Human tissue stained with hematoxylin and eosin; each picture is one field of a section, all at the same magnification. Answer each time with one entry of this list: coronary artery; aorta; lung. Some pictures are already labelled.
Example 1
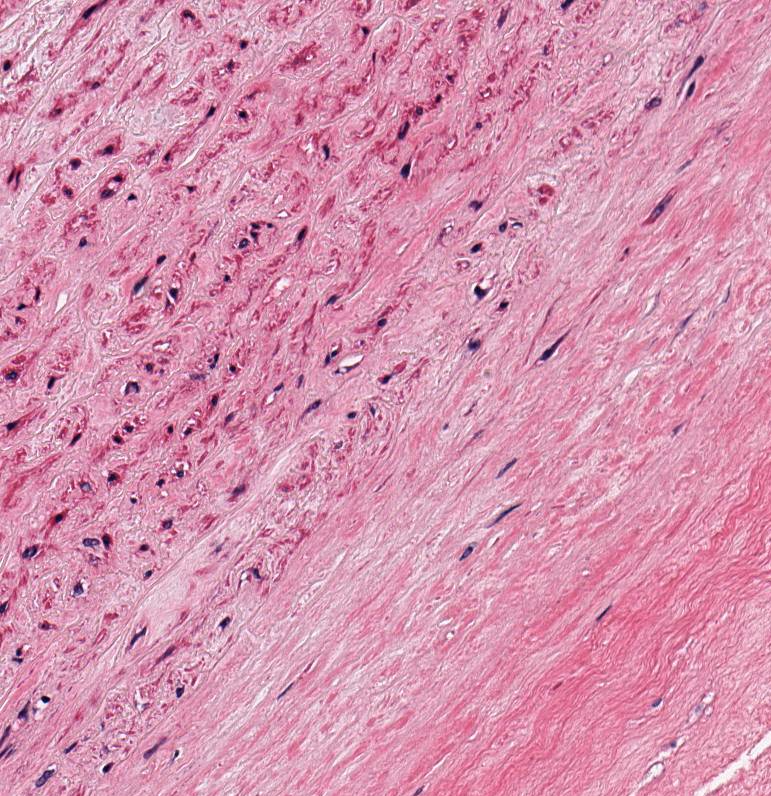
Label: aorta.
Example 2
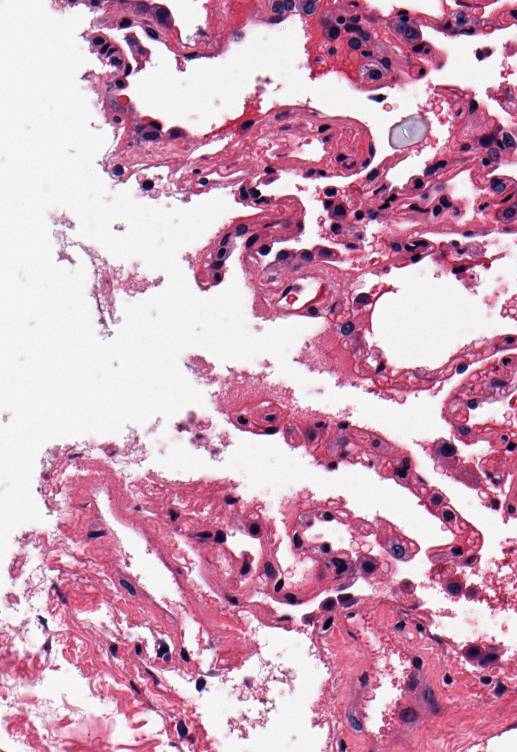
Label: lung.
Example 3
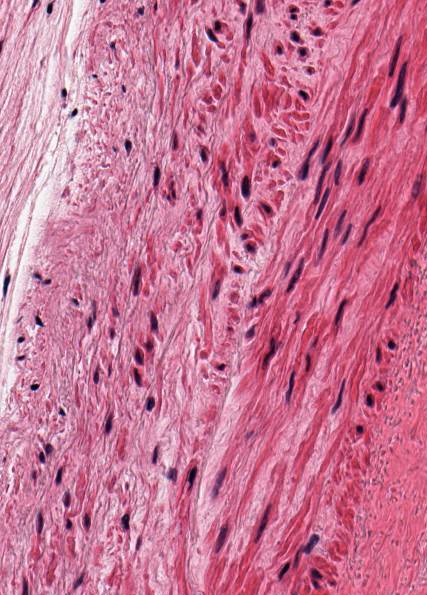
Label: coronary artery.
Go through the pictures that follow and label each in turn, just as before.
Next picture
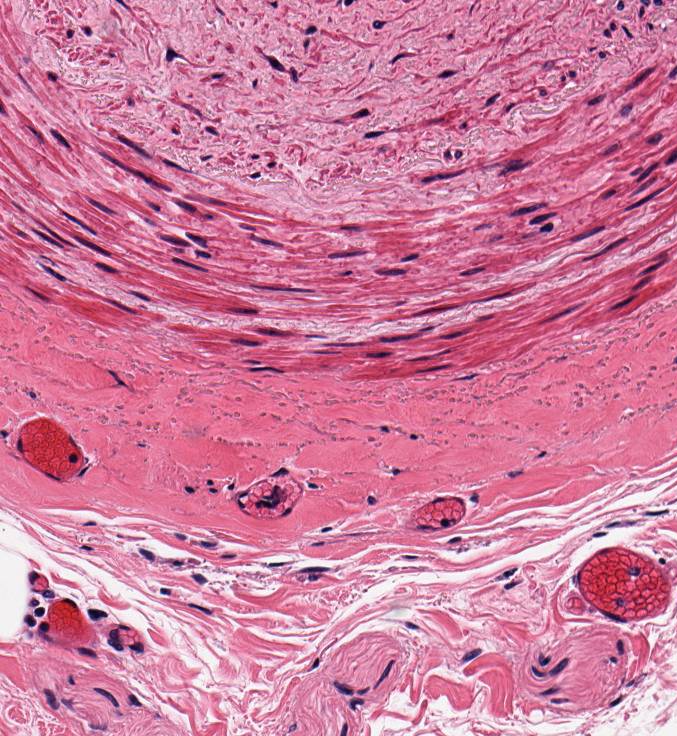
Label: coronary artery.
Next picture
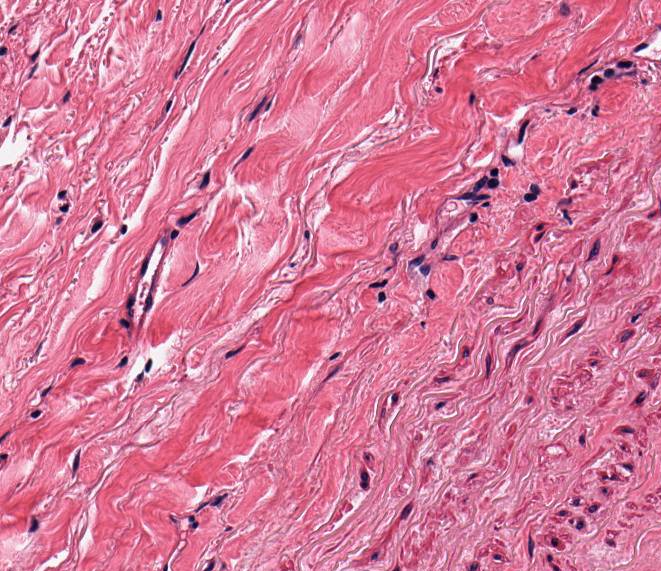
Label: aorta.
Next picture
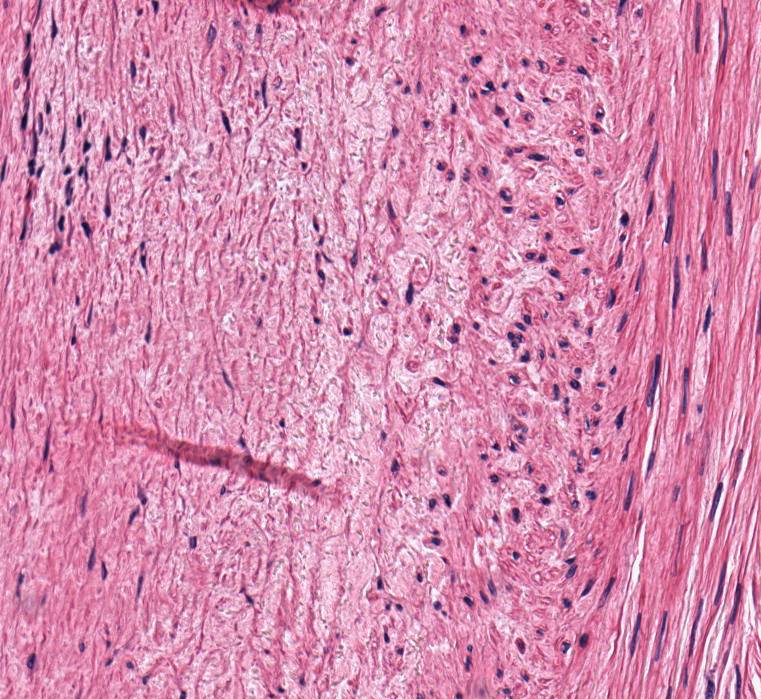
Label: coronary artery.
